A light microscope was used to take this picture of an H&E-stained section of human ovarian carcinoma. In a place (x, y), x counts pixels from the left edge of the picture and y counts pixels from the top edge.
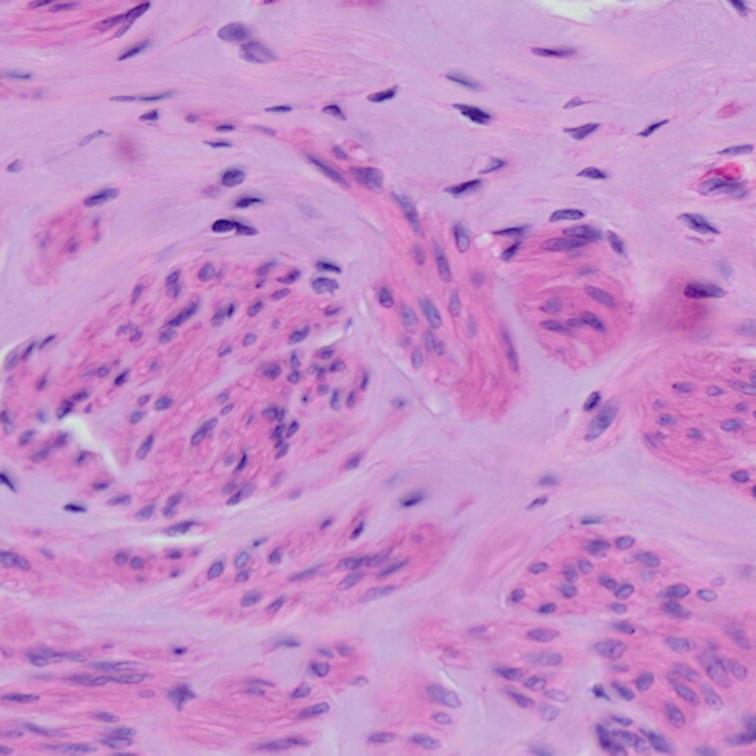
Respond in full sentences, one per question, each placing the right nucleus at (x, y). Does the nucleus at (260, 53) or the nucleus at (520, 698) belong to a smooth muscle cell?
Of these two nuclei, it is the one at (520, 698) that belongs to a smooth muscle cell.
